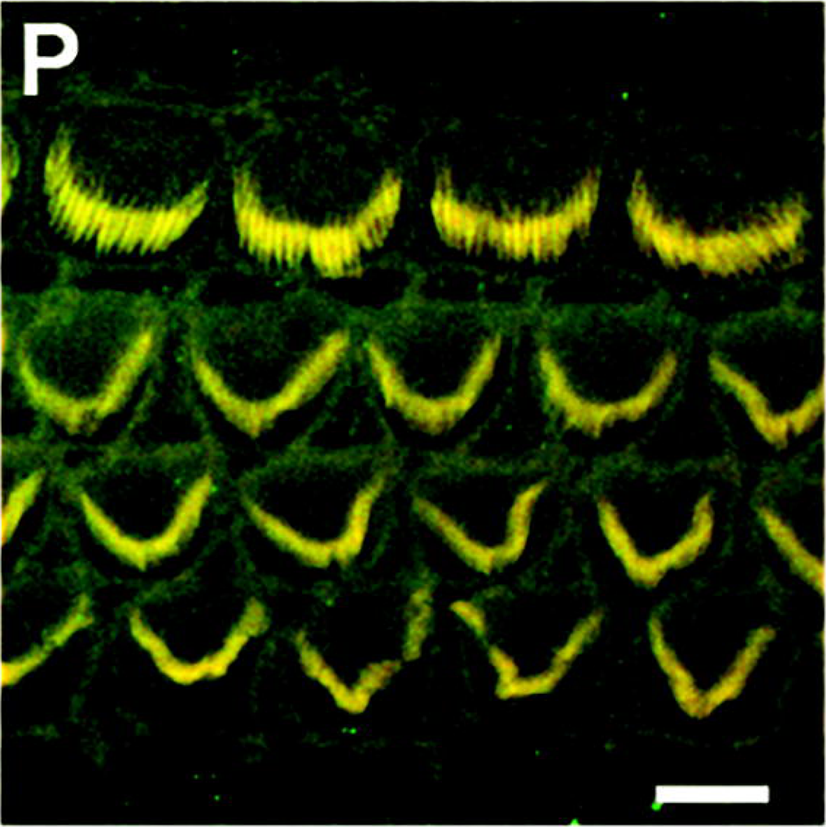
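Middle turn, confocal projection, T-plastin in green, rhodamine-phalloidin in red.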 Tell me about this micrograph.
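This surface view of the organ of Corti shows the hair bundles of its hair cells arranged in four regular rows. The top row consists of broad crescent-shaped bundles of fine parallel rods, while the three rows below are made of smaller, evenly spaced V-shaped bundles. Green and red overlap almost completely in the bundles, so they appear yellow. Faint green lines between the bundles outline the cell borders of the epithelial surface.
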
